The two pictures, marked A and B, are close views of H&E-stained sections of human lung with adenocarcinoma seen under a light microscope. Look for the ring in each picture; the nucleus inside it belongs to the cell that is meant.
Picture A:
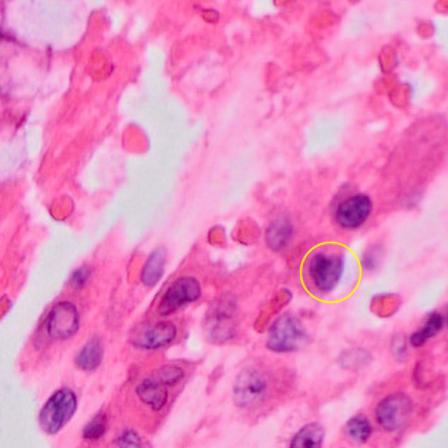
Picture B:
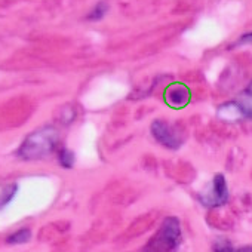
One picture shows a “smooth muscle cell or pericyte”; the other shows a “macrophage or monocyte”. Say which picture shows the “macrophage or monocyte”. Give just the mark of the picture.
A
